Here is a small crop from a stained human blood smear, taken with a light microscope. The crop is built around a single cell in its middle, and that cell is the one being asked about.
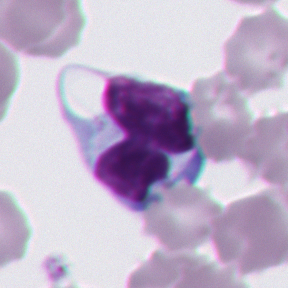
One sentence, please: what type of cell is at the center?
Present in the middle of the crop is a typical lymphocyte.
